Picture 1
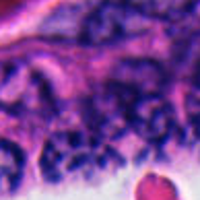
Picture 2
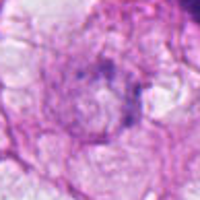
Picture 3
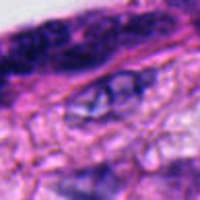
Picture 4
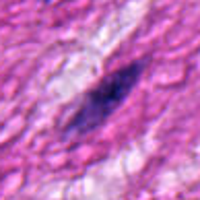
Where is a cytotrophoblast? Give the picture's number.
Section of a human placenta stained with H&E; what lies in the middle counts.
3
